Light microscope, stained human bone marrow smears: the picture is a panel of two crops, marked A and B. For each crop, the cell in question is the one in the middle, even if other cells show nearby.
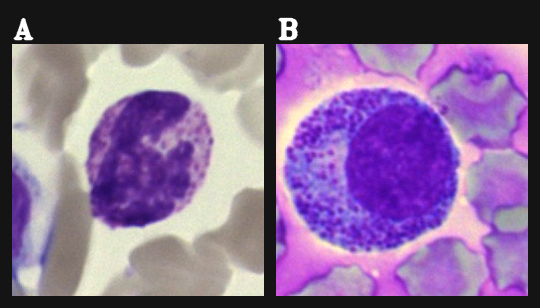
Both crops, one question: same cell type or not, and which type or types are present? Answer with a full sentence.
No, crop A is of a basophil, and crop B is of a promyelocyte.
